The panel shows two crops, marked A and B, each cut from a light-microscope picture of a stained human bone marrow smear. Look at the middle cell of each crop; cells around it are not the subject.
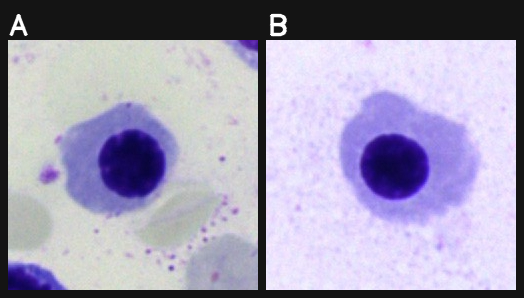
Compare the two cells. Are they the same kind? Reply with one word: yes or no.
yes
